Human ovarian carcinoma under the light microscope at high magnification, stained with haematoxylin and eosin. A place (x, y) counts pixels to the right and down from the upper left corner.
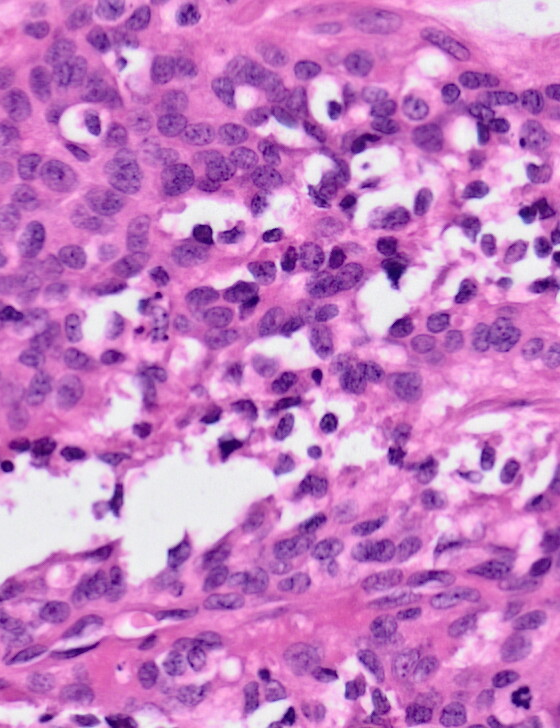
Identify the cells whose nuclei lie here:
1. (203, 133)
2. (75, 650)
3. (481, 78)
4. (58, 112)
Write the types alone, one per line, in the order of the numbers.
carcinoma cell
endothelial cell
carcinoma cell
carcinoma cell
